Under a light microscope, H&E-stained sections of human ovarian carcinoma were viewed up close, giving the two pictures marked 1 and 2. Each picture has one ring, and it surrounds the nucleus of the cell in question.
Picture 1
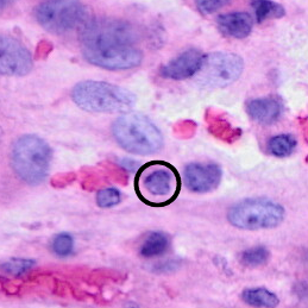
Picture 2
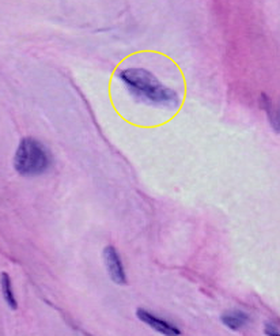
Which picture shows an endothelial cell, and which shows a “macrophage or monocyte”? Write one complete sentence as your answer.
Picture 2 shows an endothelial cell, while picture 1 shows a “macrophage or monocyte”.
